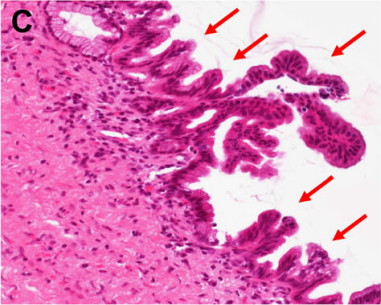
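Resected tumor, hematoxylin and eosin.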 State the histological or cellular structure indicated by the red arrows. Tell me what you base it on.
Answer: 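The arrows point to small finger-like epithelial projections into the lumen. Several such projections lie in a row along the surface. On this evidence: intraepithelial micropapillary lesions.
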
